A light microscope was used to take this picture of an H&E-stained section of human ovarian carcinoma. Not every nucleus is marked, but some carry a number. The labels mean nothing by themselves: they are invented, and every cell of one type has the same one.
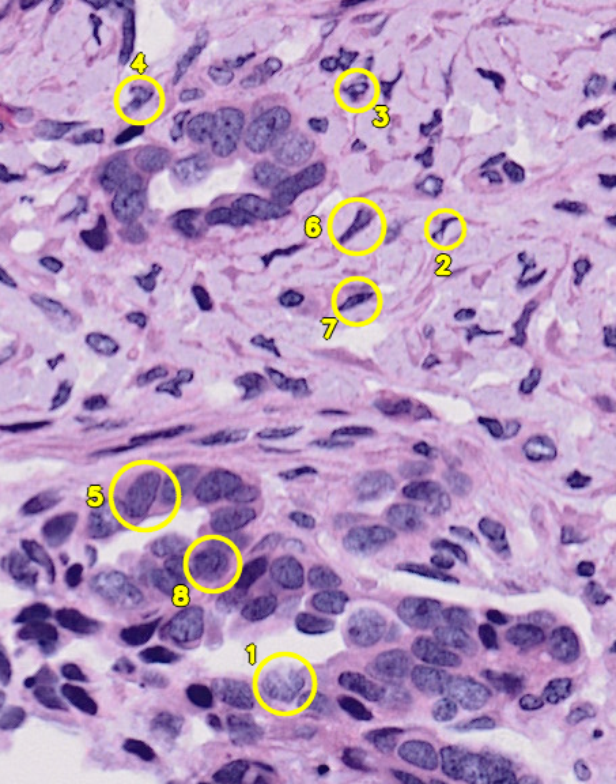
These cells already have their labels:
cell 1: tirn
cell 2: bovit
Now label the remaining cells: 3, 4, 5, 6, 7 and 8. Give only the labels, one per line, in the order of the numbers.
bovit
bovit
tirn
bovit
bovit
tirn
